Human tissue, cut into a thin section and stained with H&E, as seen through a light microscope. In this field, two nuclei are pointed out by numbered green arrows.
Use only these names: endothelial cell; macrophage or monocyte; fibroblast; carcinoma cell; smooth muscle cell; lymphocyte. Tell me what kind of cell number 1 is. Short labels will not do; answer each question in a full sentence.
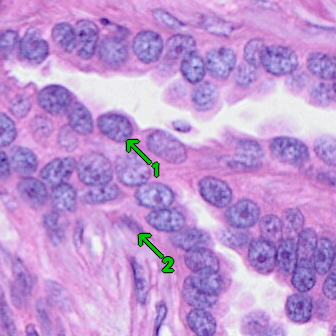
As for number 1, that cell is a carcinoma cell.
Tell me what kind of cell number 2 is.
Belonging to a fibroblast is the nucleus that carries the number 2.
